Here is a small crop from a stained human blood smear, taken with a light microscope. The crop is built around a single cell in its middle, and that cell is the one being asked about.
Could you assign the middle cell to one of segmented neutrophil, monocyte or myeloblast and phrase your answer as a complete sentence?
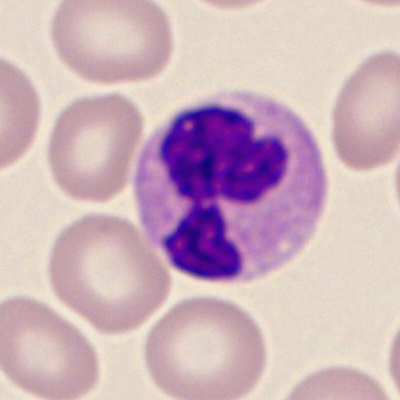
The centrally positioned cell in the crop represents a segmented neutrophil.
